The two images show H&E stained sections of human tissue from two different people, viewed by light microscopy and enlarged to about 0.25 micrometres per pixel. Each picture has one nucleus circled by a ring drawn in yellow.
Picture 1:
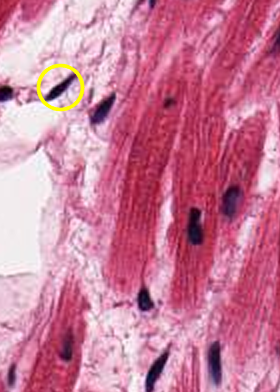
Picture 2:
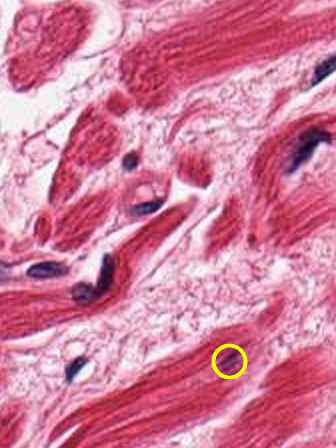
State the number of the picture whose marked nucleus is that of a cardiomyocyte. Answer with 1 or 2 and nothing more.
2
